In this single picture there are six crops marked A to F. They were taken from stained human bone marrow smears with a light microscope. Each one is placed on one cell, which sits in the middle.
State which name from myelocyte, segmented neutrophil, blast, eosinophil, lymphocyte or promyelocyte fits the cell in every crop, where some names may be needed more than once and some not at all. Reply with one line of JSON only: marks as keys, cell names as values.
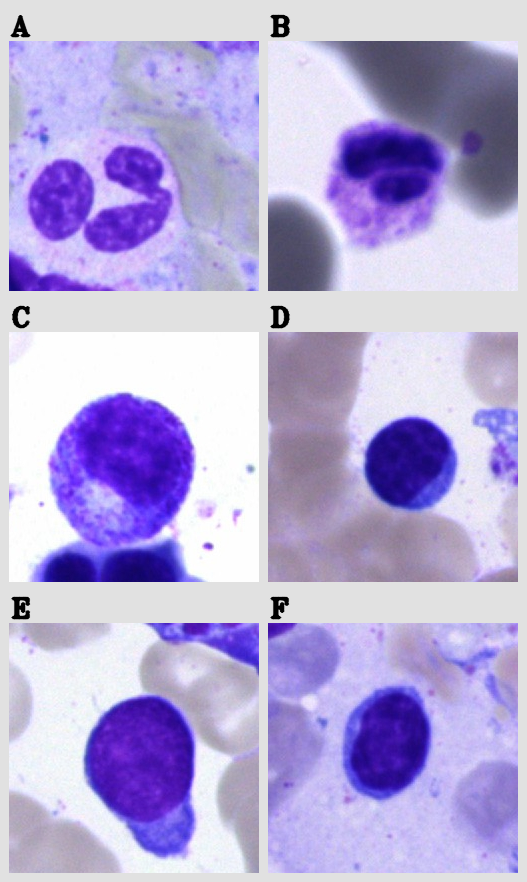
{"A": "segmented neutrophil", "B": "segmented neutrophil", "C": "myelocyte", "D": "lymphocyte", "E": "blast", "F": "lymphocyte"}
